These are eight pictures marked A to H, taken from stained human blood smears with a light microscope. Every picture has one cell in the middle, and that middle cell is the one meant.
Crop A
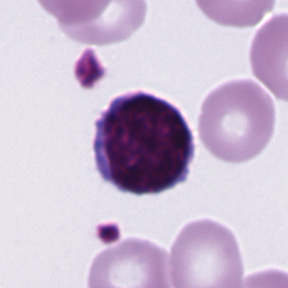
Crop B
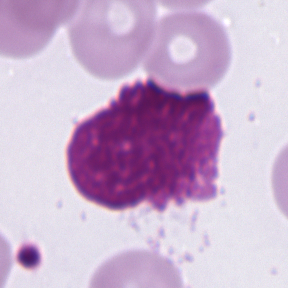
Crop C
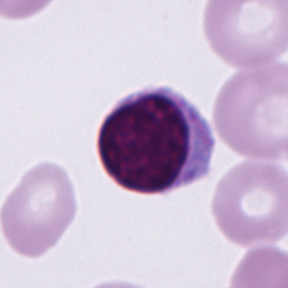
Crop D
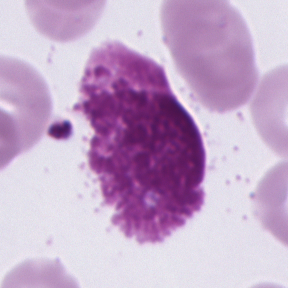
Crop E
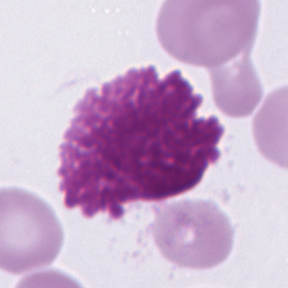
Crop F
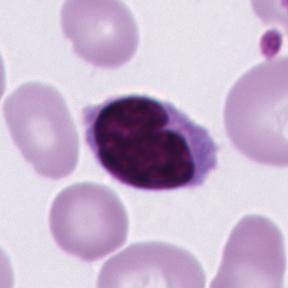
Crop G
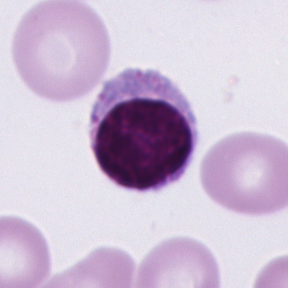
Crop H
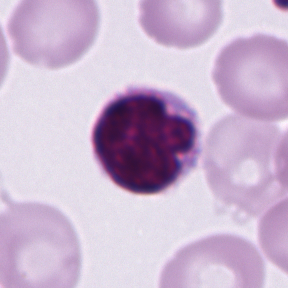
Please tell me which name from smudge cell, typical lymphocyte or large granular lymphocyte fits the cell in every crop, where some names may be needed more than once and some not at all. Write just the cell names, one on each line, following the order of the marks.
typical lymphocyte
smudge cell
typical lymphocyte
smudge cell
smudge cell
typical lymphocyte
large granular lymphocyte
typical lymphocyte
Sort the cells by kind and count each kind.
typical lymphocyte: 4
smudge cell: 3
large granular lymphocyte: 1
